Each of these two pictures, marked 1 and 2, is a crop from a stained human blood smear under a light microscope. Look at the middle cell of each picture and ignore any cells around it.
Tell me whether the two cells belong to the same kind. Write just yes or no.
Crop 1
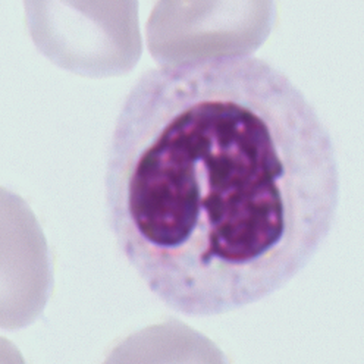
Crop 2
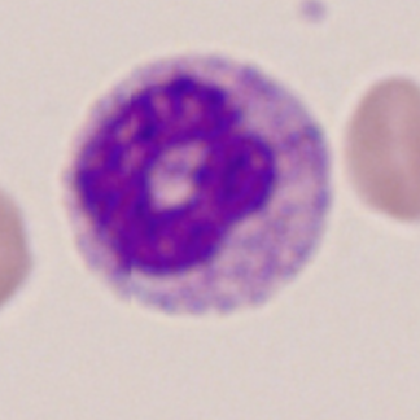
yes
